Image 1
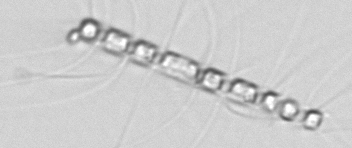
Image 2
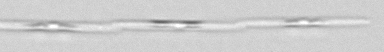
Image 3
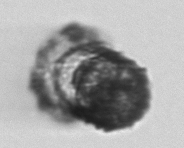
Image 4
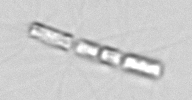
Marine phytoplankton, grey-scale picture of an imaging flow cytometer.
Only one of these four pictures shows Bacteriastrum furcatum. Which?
Picture 4.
